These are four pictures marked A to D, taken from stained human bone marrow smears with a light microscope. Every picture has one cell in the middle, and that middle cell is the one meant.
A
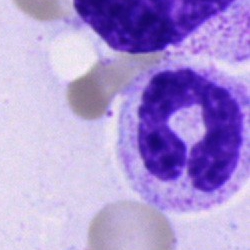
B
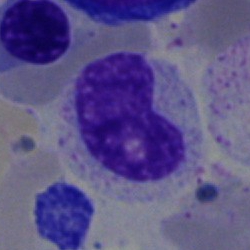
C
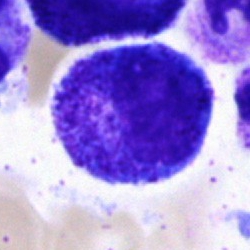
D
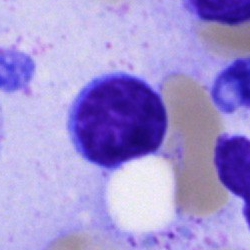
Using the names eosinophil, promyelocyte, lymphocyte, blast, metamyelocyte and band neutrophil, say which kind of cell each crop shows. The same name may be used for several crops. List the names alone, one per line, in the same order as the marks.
band neutrophil
metamyelocyte
promyelocyte
lymphocyte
